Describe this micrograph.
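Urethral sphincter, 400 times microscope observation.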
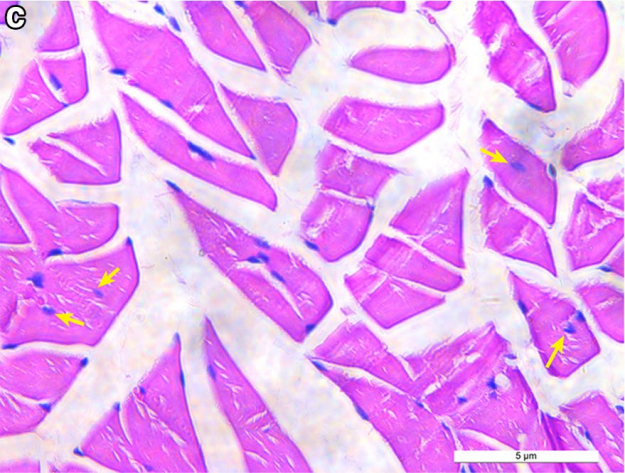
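A cross section of skeletal muscle shows many pink, polygonal to wedge-shaped fibres of varying size packed in groups and separated by pale connective tissue. Dark blue nuclei are mostly flattened along the fibre borders, the usual peripheral position of skeletal muscle nuclei. A few fibres show nuclei set within the body of the fibre rather than at its edge, a feature of newly formed muscle cells.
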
